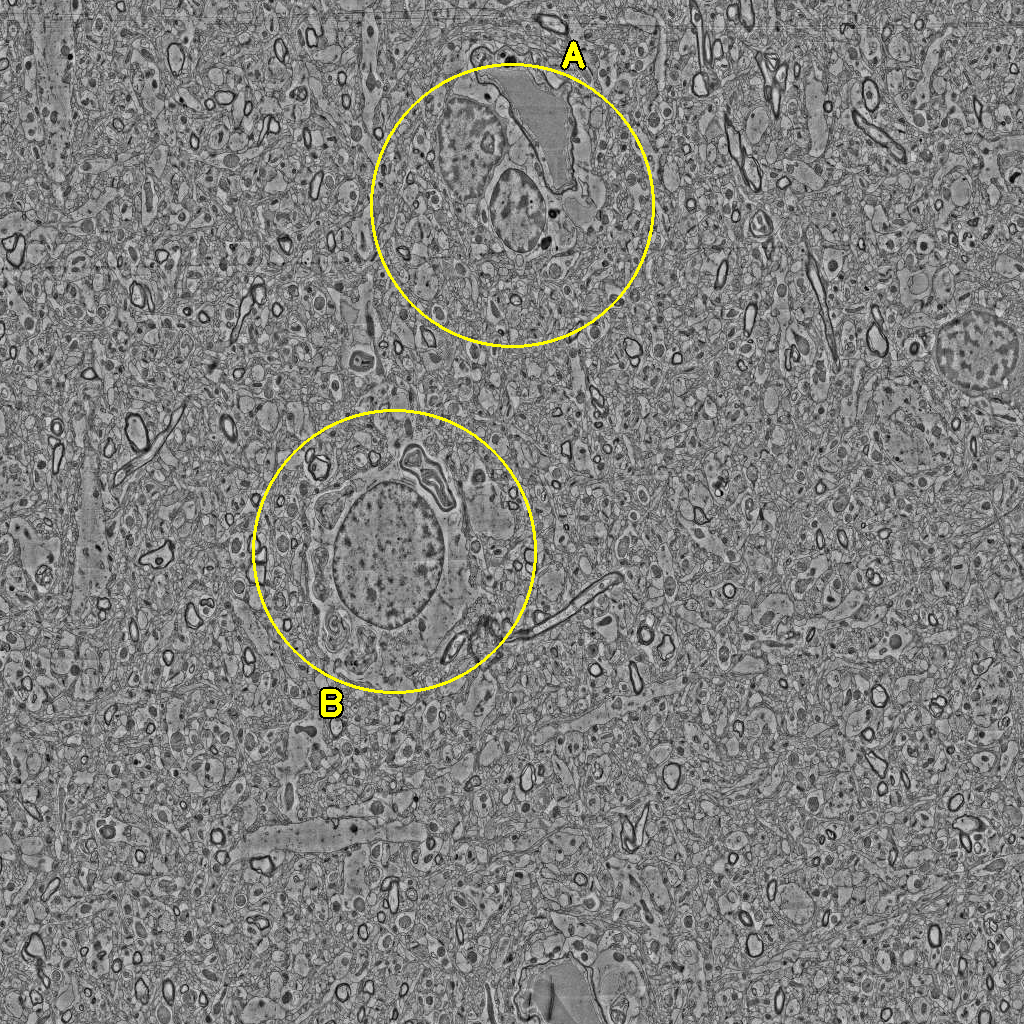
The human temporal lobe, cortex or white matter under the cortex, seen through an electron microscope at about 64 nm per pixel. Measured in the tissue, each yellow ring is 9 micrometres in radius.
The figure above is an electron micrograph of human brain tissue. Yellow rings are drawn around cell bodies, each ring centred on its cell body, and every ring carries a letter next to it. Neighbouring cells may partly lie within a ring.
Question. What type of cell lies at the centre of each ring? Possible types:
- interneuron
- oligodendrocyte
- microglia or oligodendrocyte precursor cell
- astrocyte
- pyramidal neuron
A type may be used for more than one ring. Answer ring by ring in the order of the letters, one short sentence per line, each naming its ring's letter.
In ring A, the central cell is a microglial cell or oligodendrocyte precursor cell.
In ring B, the central cell is an astrocyte.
